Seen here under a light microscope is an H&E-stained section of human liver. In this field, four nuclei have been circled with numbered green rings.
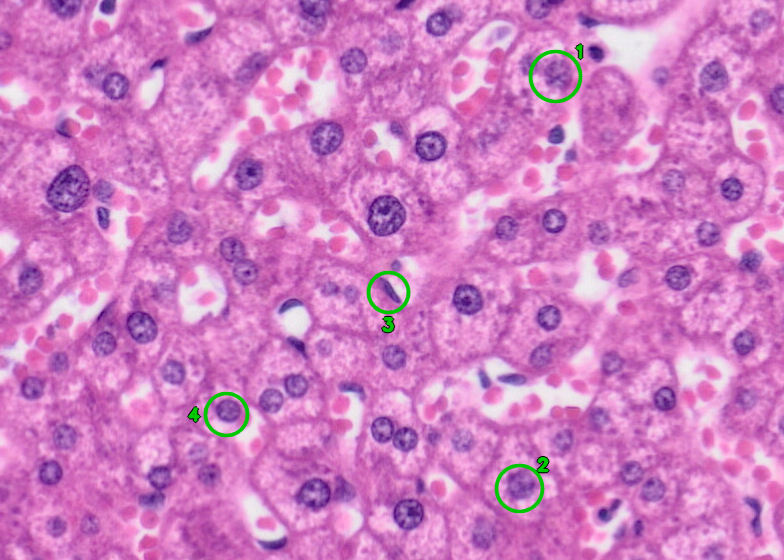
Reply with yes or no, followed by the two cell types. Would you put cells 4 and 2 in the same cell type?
Yes, cells 4 and 2 are hepatocytes, the two of them alike.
